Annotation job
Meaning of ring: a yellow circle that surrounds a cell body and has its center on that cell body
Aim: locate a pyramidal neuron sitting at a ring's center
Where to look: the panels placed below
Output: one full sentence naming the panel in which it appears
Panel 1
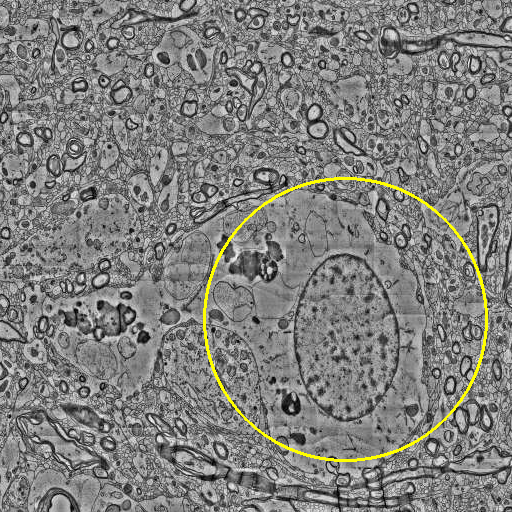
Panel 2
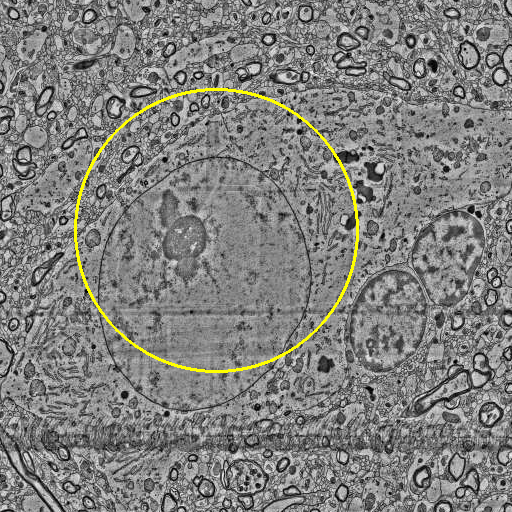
The cell at the center of the ring in panel 2 is the one sought.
